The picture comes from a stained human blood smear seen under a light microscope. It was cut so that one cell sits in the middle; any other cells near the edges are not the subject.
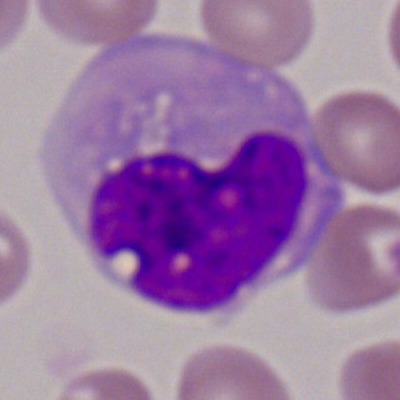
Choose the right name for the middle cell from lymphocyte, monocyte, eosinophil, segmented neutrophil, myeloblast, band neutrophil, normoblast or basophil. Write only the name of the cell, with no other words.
monocyte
